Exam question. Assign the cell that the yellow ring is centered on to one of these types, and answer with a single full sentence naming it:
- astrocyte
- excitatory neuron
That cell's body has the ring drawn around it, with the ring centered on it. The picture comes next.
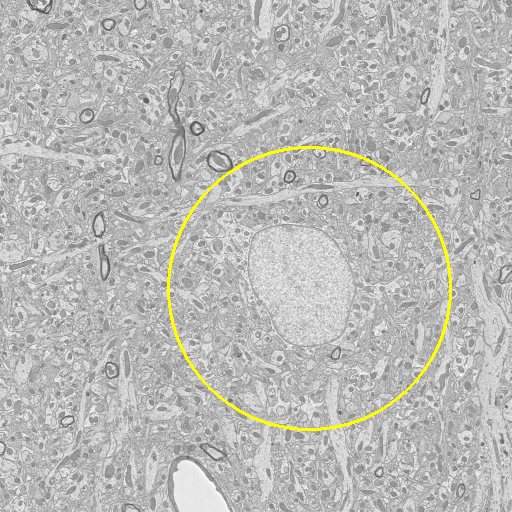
In the micrograph, the cell the yellow ring is centered on is an astrocyte.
